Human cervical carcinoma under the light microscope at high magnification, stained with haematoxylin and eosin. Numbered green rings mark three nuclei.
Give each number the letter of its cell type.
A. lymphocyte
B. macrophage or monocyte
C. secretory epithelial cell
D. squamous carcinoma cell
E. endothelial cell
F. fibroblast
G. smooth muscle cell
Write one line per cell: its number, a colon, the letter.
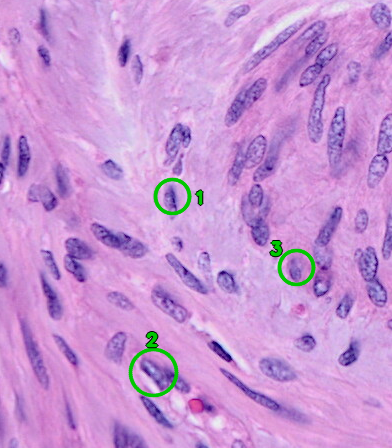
1: F
2: E
3: G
